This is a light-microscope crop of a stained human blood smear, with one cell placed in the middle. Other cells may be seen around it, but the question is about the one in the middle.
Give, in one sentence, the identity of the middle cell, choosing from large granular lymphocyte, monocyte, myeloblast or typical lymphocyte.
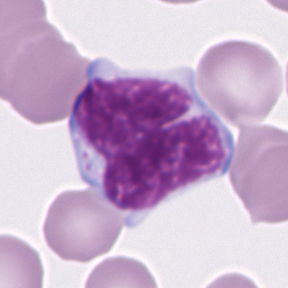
The middle position in this crop is taken by a large granular lymphocyte.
